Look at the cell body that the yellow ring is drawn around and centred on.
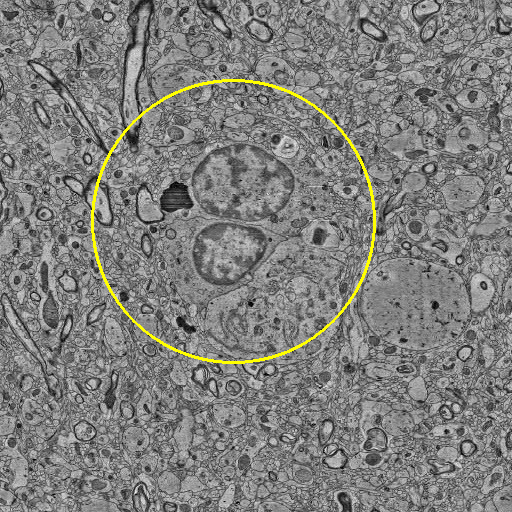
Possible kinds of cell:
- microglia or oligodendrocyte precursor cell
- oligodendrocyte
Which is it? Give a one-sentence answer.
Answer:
The centred cell body is that of an oligodendrocyte.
